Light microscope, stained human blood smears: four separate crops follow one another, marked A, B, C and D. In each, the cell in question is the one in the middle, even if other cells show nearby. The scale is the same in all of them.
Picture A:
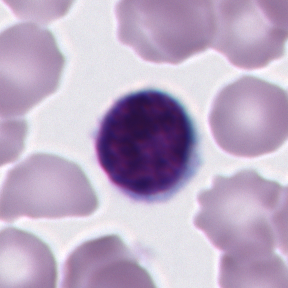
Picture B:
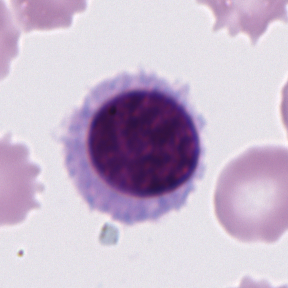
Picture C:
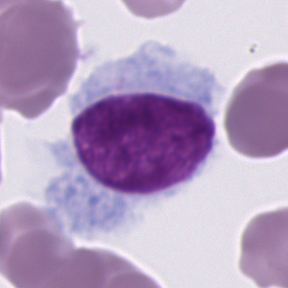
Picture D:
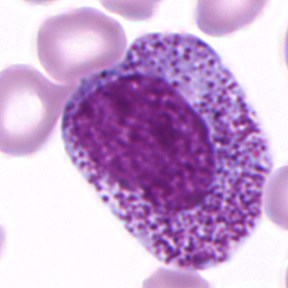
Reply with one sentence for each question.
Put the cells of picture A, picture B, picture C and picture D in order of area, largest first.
Largest first: D, C, B, A.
